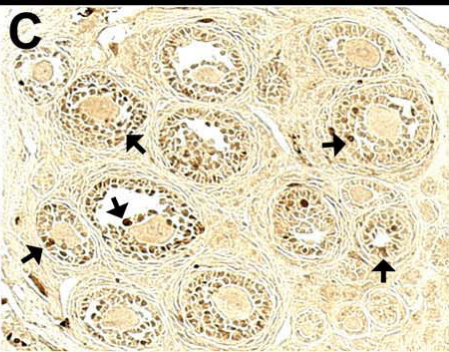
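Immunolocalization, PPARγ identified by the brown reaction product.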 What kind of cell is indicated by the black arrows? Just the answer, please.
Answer: Granulosa cells.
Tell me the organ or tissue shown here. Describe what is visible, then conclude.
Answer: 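Many round follicles each contain a large central cell surrounded by layers of small cells. Stroma lies between the follicles. The answer: ovarian tissue.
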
